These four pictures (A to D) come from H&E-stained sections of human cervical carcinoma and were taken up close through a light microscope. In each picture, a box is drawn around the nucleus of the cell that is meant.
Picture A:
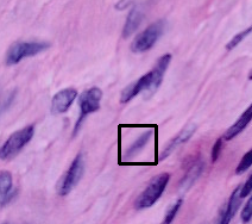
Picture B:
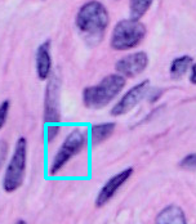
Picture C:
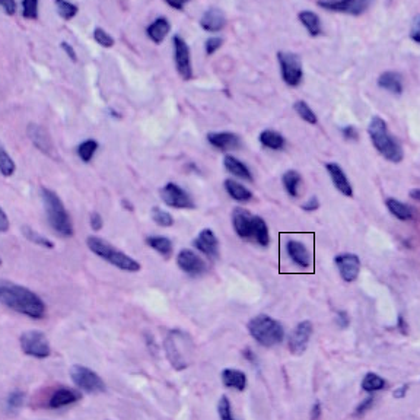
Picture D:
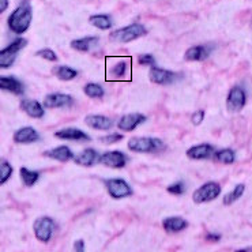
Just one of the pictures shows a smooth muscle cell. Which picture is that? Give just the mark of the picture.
D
